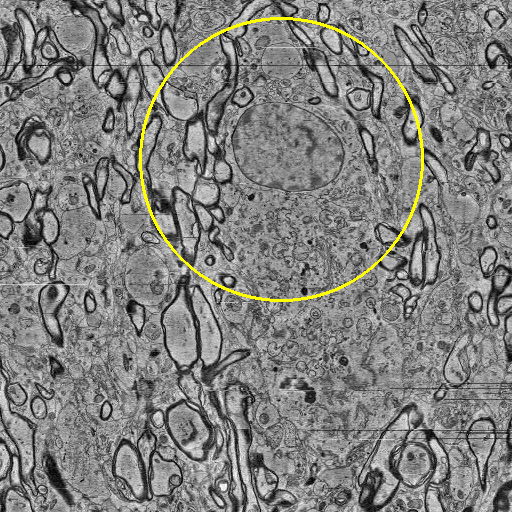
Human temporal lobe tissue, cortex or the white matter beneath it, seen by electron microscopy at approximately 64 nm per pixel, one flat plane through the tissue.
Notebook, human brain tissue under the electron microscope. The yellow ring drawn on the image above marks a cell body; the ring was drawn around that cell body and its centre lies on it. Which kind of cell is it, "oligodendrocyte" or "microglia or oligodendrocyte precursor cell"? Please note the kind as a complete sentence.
The marked cell body is that of a microglial cell or oligodendrocyte precursor cell.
